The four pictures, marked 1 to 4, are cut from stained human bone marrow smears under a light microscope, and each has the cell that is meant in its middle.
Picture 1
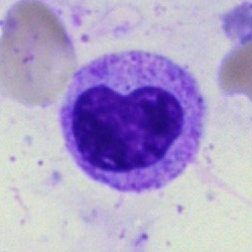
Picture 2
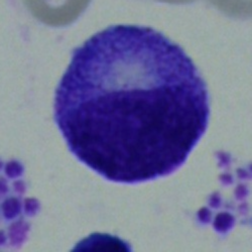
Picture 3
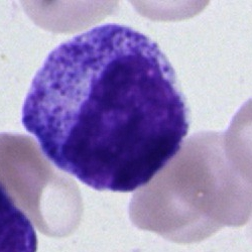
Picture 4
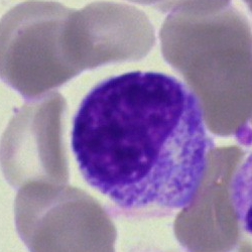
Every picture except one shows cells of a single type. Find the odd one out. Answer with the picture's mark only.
1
